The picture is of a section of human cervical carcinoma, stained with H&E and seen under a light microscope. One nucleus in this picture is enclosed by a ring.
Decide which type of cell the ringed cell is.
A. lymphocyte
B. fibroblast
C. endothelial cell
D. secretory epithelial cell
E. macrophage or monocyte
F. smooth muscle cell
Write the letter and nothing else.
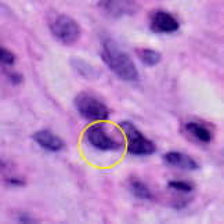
A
